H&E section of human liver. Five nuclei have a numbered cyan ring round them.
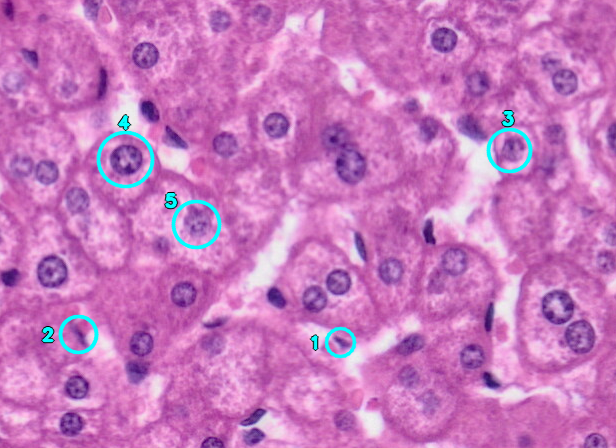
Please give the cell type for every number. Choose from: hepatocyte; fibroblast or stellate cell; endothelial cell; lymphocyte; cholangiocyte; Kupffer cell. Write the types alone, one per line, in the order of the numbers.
endothelial cell
endothelial cell
hepatocyte
hepatocyte
hepatocyte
